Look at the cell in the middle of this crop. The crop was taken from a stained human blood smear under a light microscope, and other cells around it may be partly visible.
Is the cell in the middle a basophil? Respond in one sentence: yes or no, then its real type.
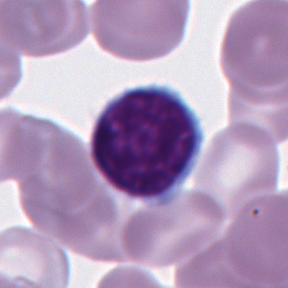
No, the cell in the centre of the crop is a typical lymphocyte as opposed to a basophil.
